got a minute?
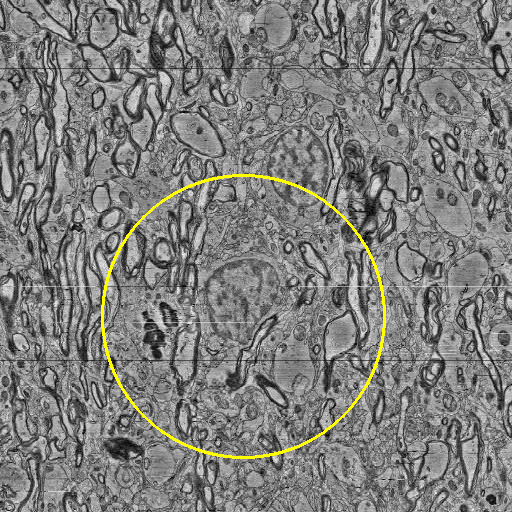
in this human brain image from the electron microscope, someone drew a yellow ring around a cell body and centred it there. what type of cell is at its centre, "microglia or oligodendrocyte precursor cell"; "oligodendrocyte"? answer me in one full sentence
It's an oligodendrocyte at the middle of that yellow ring in the shot.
